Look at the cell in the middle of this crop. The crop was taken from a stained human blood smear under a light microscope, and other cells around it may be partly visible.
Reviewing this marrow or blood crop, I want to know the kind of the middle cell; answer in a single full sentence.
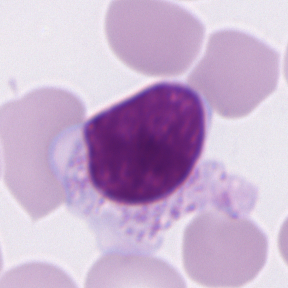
The cell featured at the centre of this crop is a large granular lymphocyte.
